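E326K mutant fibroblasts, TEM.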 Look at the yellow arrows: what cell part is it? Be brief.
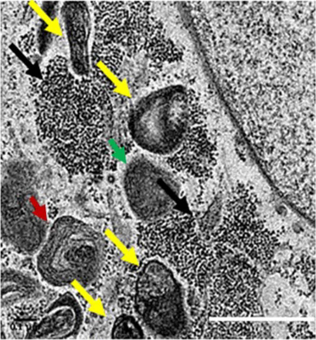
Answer: Autolysosomes.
